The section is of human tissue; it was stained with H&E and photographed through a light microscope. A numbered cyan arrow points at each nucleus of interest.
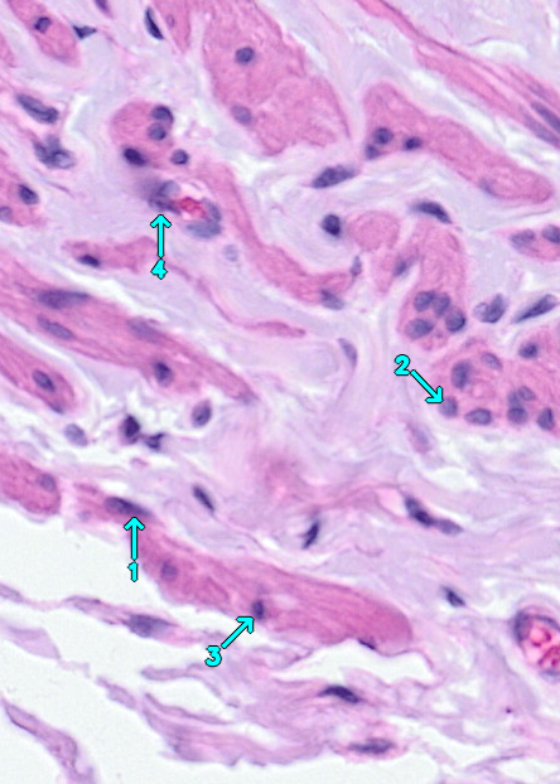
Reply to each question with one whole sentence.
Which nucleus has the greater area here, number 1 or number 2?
Nucleus 1 is the larger one, covering about 2 times the area of nucleus 2.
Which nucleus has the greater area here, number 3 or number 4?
Of the two, number 4 is bigger and takes up about 1.5 times the area of number 3.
